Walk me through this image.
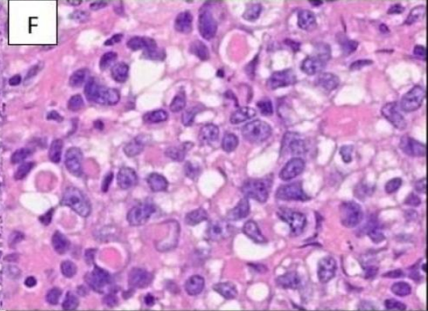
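At high magnification this field shows tumor cells of a clear cell carcinoma with hyaline globules among them. The tumor cells have large, oval to irregular nuclei with coarse purple chromatin and some visible nucleoli. Their cytoplasm ranges from clear and vacuolated to pale pink. Scattered round, glassy, deep pink globules lie within clear spaces in or between the cells, each often rimmed by a pale halo. Wisps of pink stroma run between the cell groups.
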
